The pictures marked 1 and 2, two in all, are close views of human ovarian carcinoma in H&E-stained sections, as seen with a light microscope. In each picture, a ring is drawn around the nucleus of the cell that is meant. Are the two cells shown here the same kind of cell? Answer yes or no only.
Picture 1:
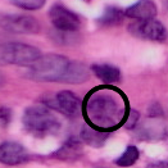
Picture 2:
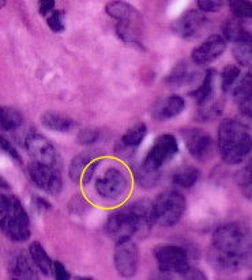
no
